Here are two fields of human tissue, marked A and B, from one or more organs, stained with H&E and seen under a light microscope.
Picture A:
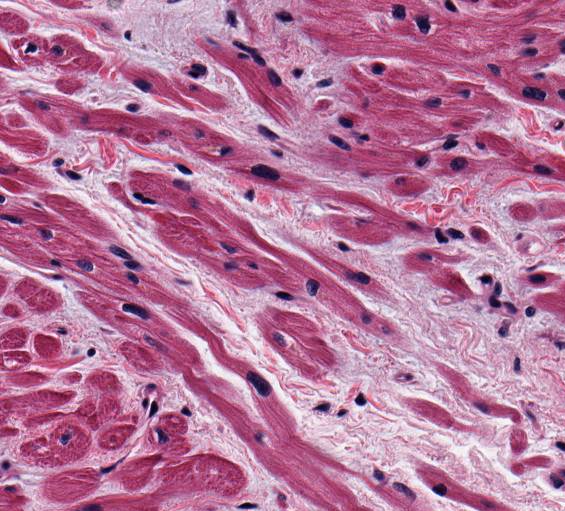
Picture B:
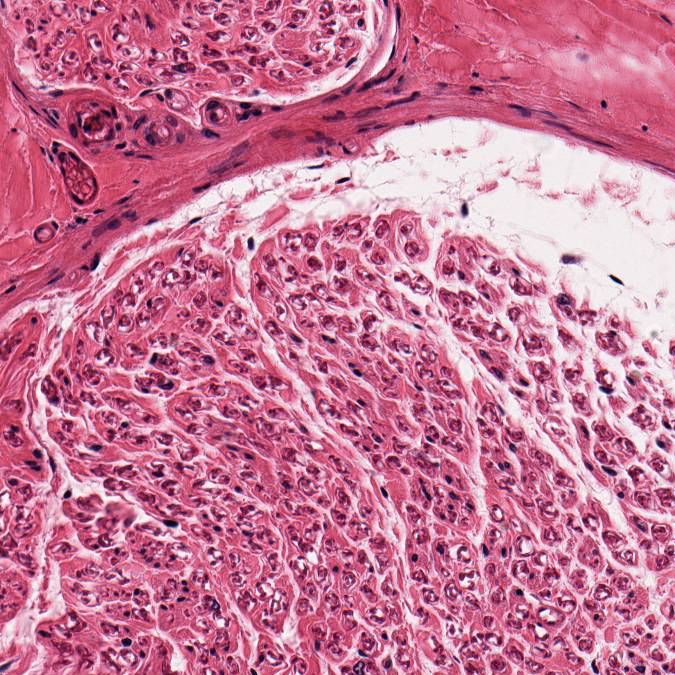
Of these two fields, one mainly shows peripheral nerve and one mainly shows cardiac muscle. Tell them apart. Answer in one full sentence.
Picture B mainly shows peripheral nerve, while picture A mainly shows cardiac muscle.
